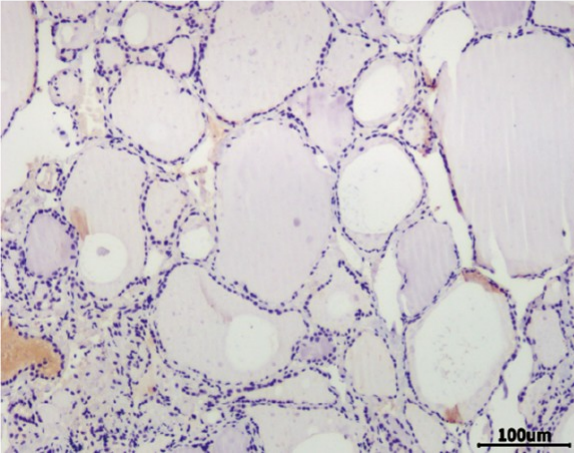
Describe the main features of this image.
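The follicles are lined by a single layer of flattened to low cuboidal cells with small, dark blue nuclei and scant cytoplasm that shows little brown colour. Thin septa separate the follicles, and at the lower left smaller follicles and denser cellular tissue are packed together. A few patches of brownish material appear within colloid and at the lower left edge.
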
